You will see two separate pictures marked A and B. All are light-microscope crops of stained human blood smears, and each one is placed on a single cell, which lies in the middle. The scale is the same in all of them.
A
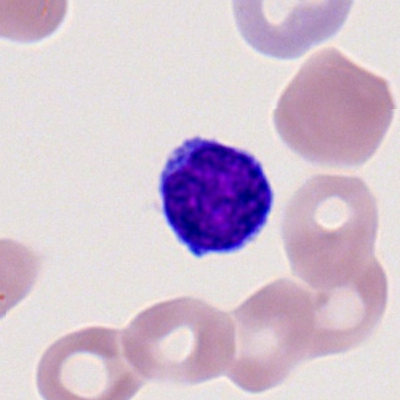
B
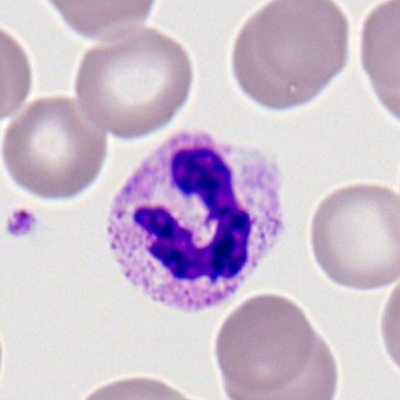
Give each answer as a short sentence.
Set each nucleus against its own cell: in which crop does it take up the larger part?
The nucleus fills more of the cell in picture A than in picture B.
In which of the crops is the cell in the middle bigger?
The cell in picture B is larger, with about 2 times the area of the one in picture A.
